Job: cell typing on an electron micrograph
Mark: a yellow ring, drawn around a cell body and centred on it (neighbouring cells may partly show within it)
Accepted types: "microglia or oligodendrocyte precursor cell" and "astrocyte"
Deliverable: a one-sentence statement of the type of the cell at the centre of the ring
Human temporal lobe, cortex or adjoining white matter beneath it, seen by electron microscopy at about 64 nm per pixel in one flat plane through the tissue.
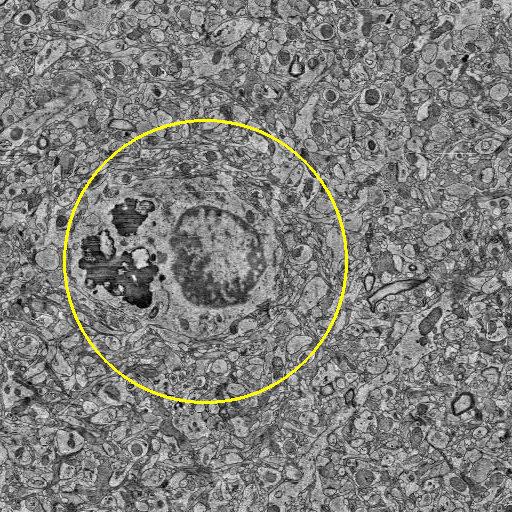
The centred cell body is that of an astrocyte.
